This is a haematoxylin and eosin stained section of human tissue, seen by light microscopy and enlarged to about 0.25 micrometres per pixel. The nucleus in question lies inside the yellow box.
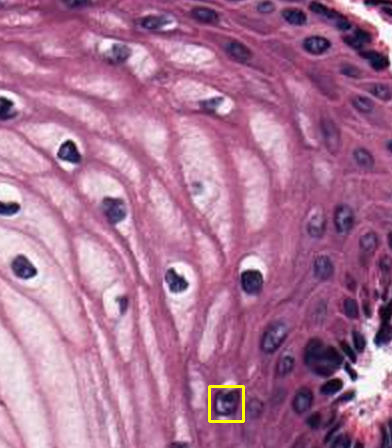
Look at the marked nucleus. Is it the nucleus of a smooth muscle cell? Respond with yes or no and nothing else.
no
